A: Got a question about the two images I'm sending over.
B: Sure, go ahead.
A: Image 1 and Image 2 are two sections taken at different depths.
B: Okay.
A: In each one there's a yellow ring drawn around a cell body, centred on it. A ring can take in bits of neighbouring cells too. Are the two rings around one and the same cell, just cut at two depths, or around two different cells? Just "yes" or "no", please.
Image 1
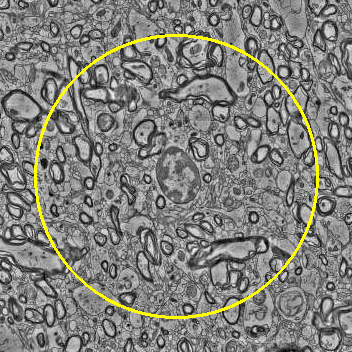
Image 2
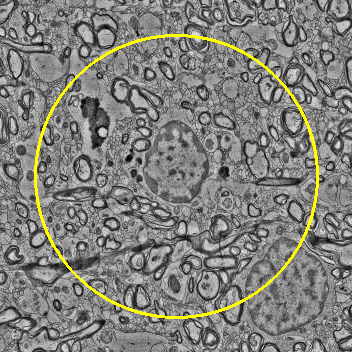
no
